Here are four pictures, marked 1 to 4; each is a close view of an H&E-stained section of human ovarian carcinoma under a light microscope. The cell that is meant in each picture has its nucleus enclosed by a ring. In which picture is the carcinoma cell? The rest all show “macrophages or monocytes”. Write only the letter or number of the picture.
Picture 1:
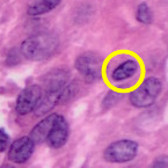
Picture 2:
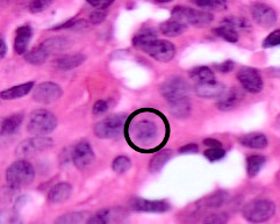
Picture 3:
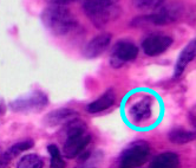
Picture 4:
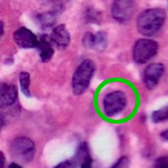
2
